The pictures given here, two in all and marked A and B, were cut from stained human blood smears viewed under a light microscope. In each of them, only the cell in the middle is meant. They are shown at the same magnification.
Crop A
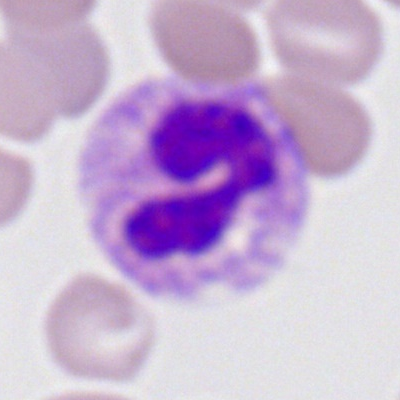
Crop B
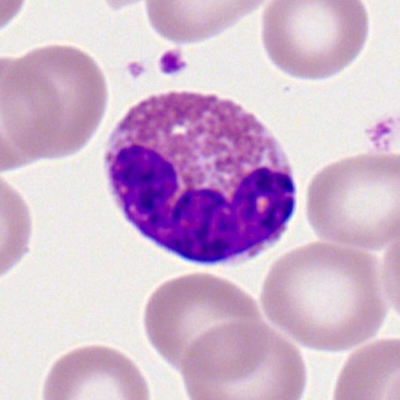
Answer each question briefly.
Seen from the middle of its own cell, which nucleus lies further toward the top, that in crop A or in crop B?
A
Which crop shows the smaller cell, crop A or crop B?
B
